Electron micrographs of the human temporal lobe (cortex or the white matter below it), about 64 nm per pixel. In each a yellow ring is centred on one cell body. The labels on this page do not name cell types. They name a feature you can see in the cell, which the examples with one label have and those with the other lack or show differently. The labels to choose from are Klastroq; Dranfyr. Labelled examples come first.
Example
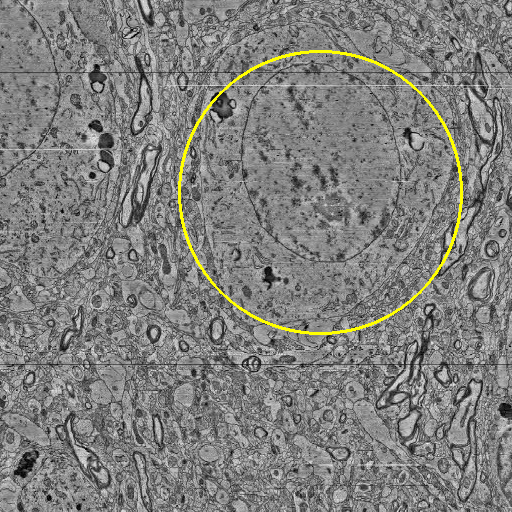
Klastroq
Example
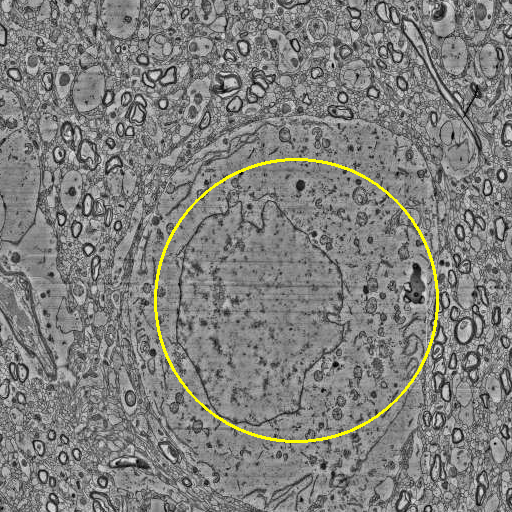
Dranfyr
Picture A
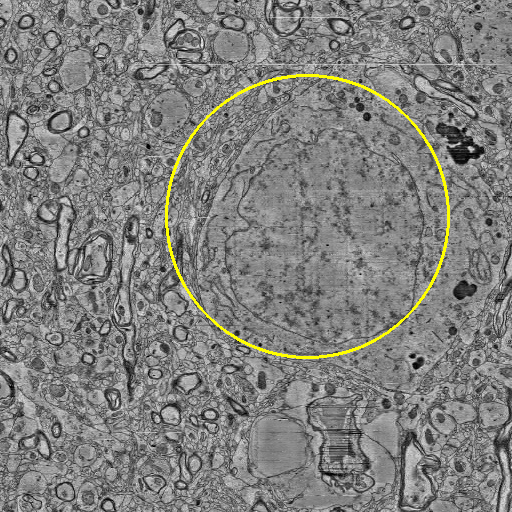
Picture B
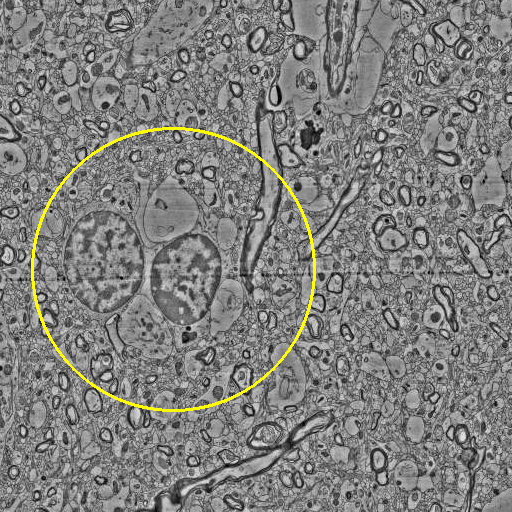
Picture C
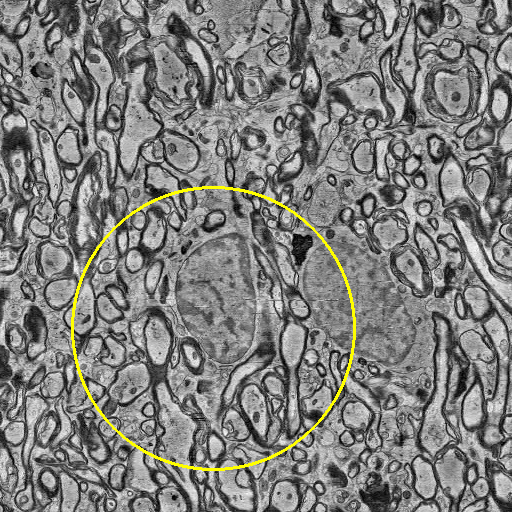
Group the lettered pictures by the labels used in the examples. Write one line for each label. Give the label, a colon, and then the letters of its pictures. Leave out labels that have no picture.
Klastroq: B, C
Dranfyr: A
